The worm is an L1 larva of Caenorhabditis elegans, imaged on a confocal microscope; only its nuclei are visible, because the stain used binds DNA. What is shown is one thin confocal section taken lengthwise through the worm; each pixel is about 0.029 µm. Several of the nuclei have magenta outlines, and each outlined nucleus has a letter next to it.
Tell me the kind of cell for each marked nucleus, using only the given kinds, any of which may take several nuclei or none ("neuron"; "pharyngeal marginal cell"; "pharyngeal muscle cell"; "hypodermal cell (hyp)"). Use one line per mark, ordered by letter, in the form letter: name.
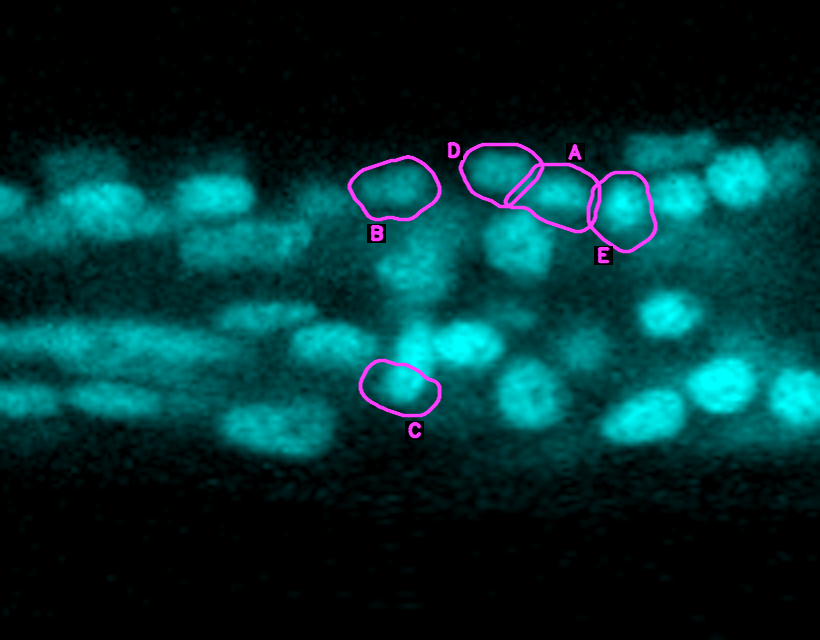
A: neuron
B: hypodermal cell (hyp)
C: pharyngeal muscle cell
D: hypodermal cell (hyp)
E: neuron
